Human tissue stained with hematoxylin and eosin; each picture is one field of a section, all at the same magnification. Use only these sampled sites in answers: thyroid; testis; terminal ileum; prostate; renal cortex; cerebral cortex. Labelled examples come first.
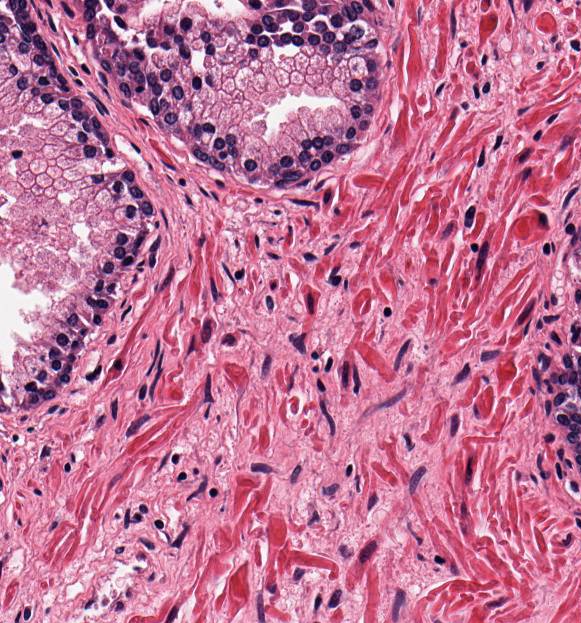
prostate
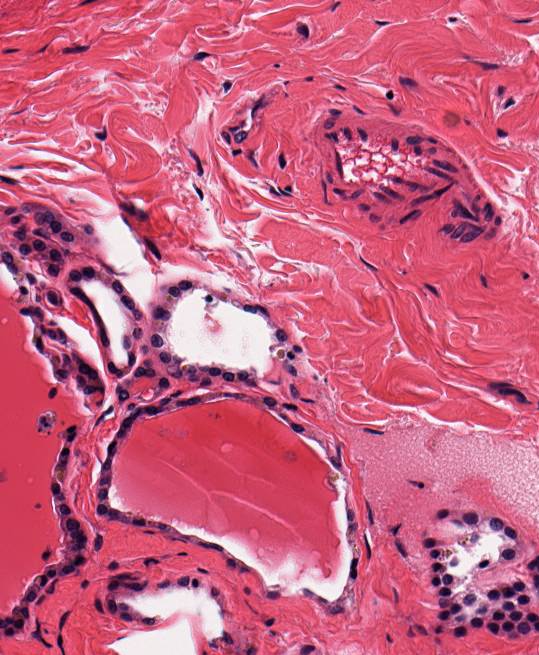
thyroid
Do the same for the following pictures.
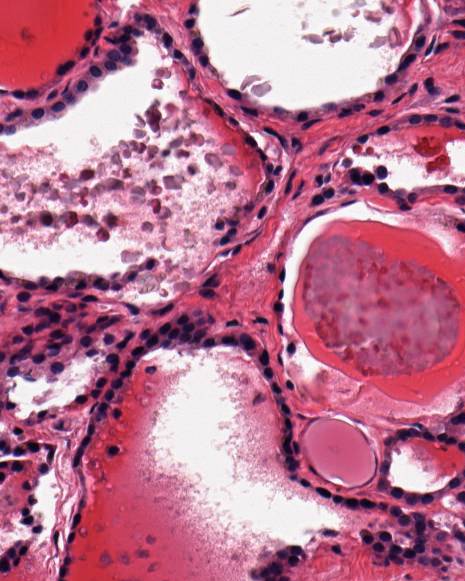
thyroid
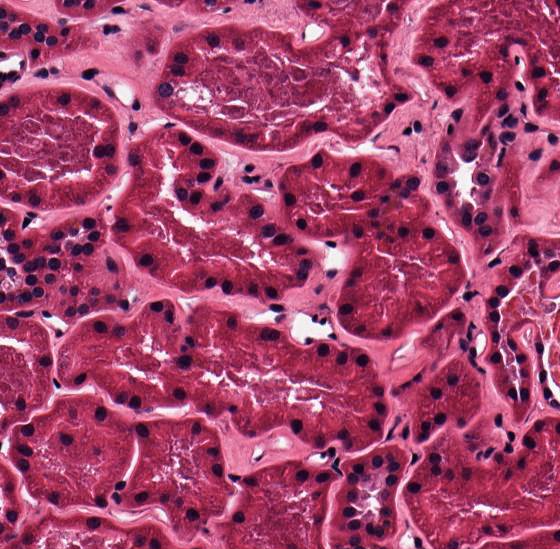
renal cortex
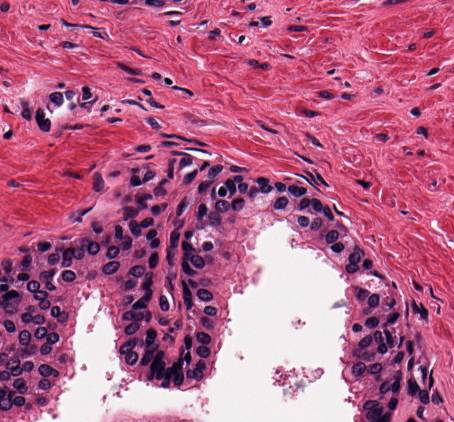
prostate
